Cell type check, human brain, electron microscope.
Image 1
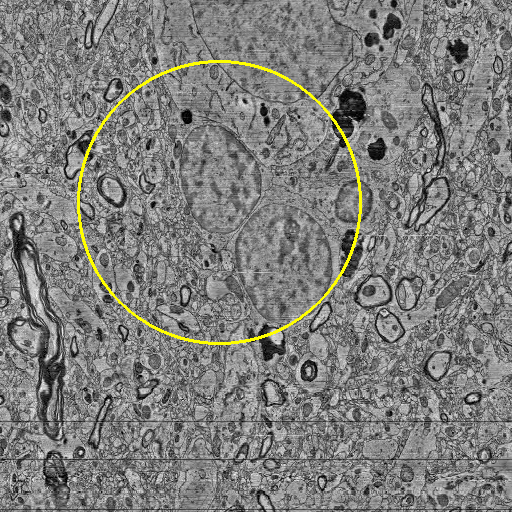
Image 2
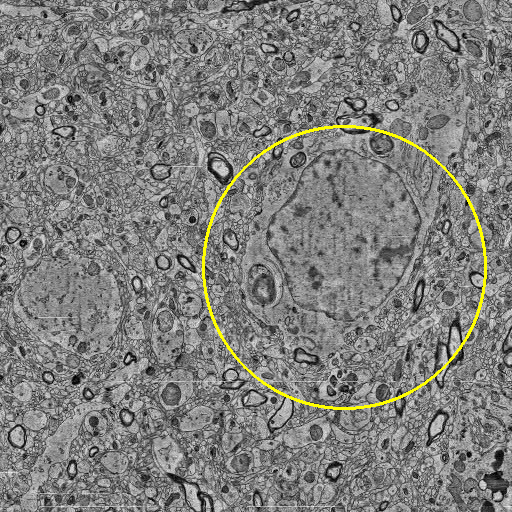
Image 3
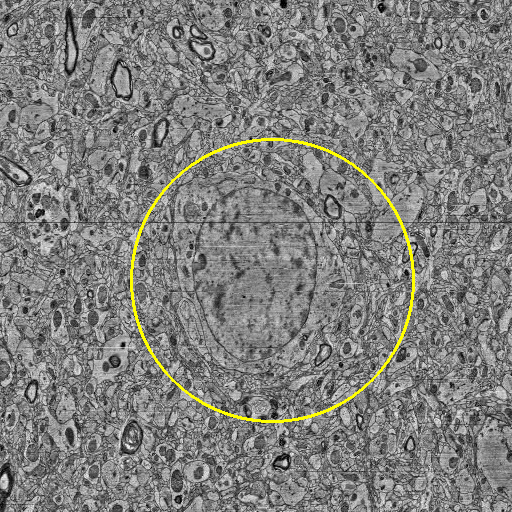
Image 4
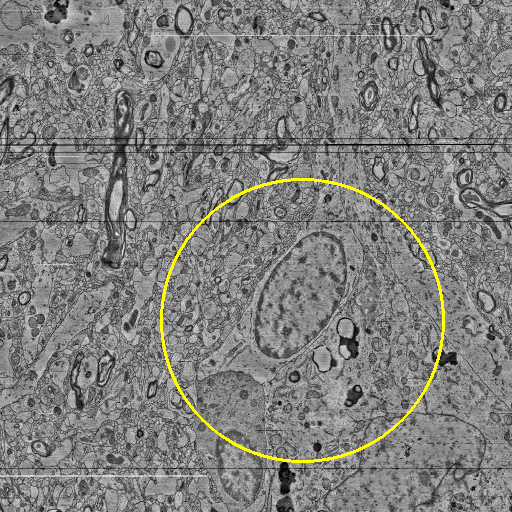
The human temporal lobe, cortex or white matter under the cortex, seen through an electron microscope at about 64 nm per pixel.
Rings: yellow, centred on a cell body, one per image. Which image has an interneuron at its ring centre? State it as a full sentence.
The ring in Image 3 is centred on it.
